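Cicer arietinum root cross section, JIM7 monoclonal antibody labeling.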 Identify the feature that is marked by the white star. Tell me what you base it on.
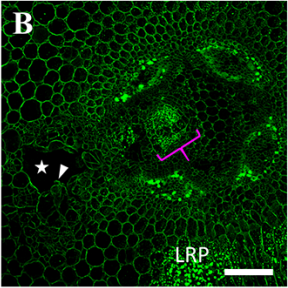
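The white star sits in a large dark gas-filled space with no cells.
Aerenchyma cavities.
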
